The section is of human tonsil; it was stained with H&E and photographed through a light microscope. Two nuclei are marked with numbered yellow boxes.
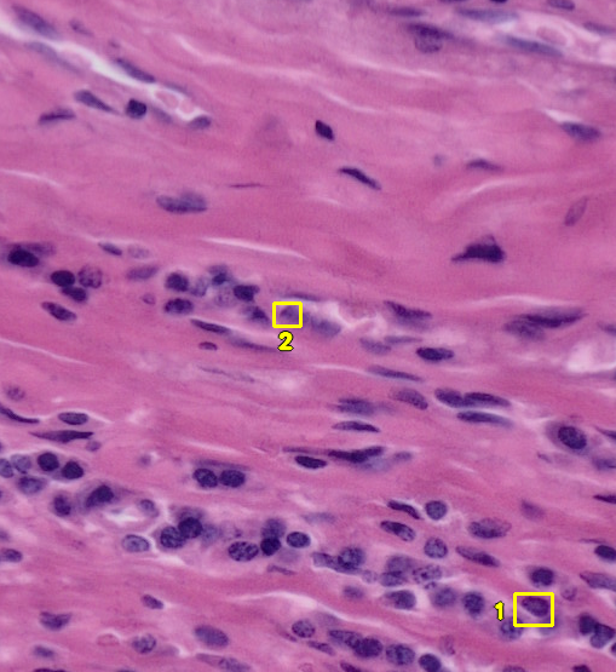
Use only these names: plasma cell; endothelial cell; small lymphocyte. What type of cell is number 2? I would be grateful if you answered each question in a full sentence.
Within this field of view, the cell labelled 2 is an endothelial cell.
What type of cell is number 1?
Here the cell numbered 1 is a plasma cell.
